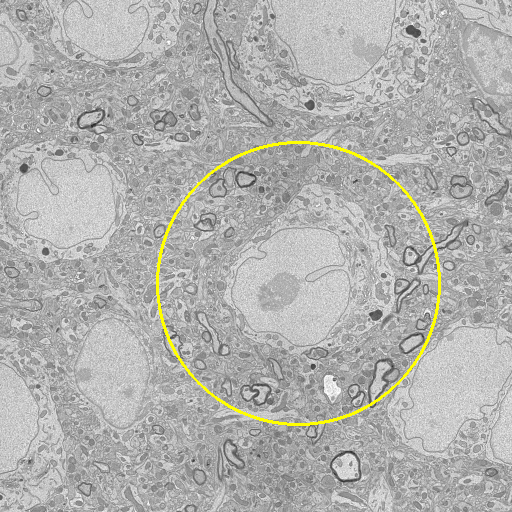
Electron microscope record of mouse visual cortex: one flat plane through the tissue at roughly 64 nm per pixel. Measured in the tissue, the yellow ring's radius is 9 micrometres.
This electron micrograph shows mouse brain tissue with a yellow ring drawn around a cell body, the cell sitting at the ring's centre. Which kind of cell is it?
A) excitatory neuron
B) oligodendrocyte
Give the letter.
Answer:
A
